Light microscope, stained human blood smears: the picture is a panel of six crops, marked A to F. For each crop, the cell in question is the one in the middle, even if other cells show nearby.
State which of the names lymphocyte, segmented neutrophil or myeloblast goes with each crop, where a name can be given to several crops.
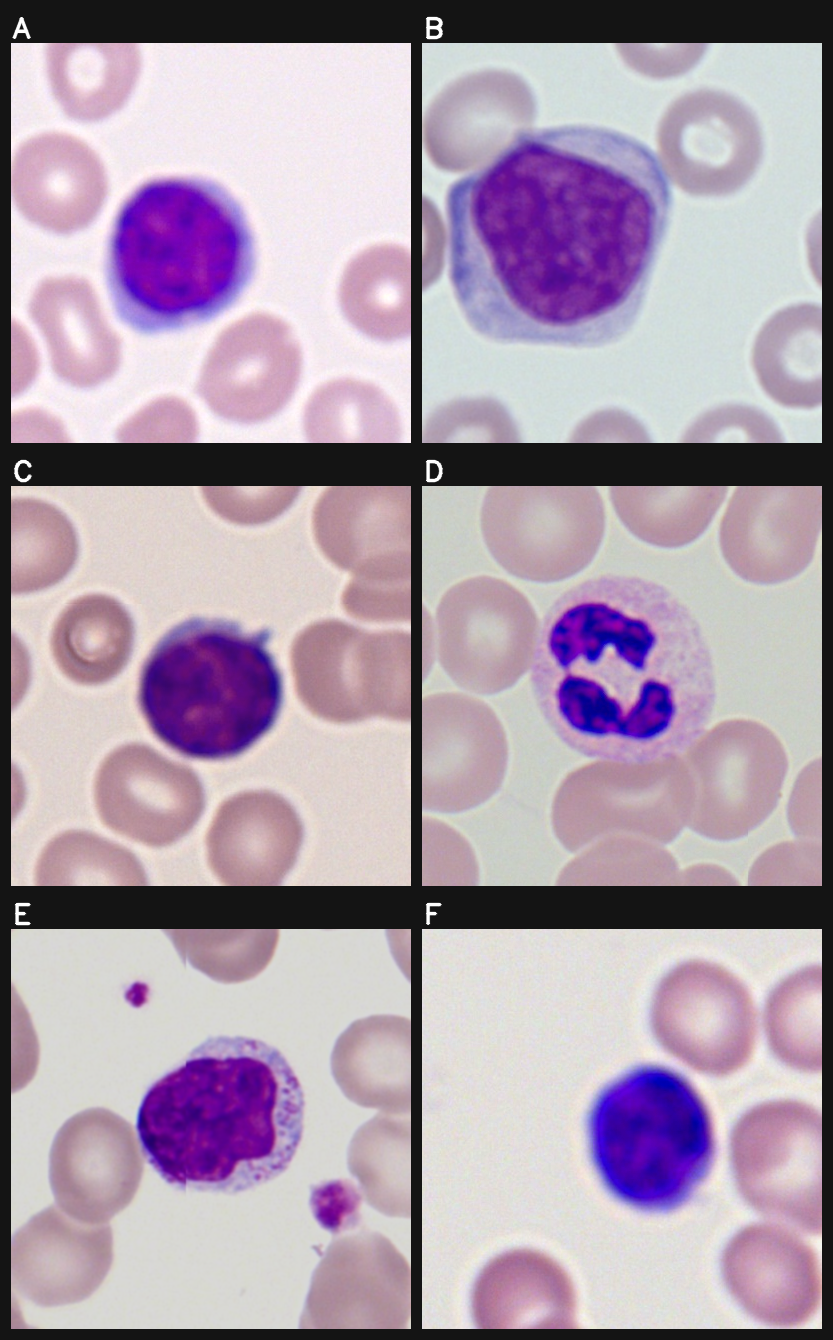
A: lymphocyte
B: myeloblast
C: lymphocyte
D: segmented neutrophil
E: lymphocyte
F: lymphocyte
